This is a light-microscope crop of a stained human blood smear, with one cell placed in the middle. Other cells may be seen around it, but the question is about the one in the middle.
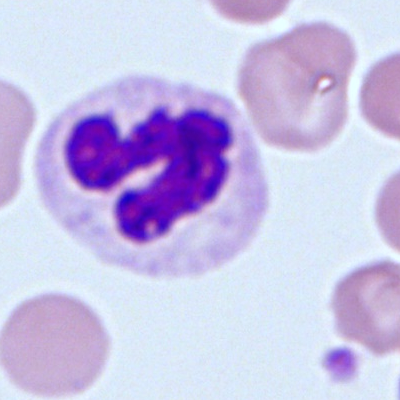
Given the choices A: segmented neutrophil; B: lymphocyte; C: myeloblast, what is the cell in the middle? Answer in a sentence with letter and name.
Option A is correct in that the central cell is a segmented neutrophil.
